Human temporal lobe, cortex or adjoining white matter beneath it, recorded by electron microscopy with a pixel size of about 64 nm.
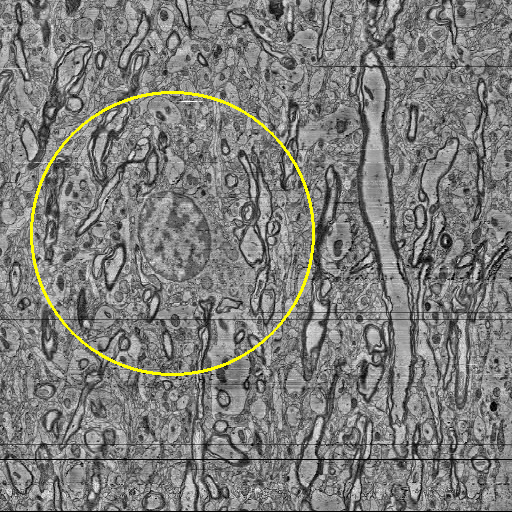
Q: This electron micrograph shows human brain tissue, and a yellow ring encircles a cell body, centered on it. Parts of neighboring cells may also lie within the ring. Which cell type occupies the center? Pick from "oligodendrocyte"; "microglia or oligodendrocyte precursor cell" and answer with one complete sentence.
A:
What sits at the ring's center in this micrograph is an oligodendrocyte, among those choices.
